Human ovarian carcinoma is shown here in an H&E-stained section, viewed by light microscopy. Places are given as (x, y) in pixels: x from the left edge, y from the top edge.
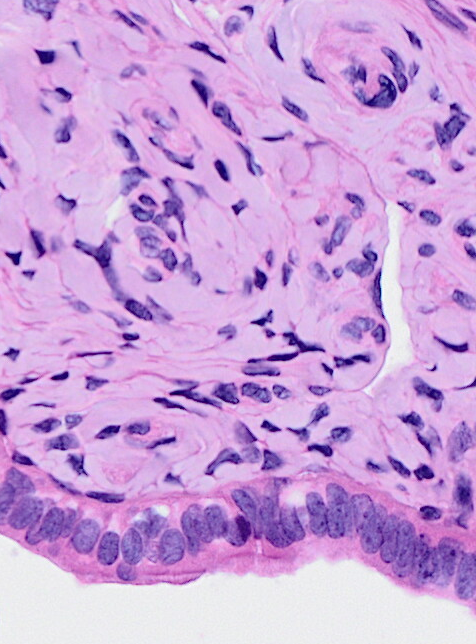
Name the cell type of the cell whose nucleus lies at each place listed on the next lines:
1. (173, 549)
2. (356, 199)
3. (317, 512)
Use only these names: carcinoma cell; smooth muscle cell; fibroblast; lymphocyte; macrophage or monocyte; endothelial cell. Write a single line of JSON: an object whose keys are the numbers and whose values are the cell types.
{"1": "carcinoma cell", "2": "smooth muscle cell", "3": "carcinoma cell"}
